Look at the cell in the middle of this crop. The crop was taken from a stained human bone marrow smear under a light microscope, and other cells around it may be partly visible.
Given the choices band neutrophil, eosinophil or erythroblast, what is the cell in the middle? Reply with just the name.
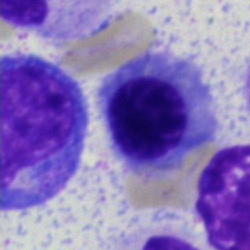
erythroblast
